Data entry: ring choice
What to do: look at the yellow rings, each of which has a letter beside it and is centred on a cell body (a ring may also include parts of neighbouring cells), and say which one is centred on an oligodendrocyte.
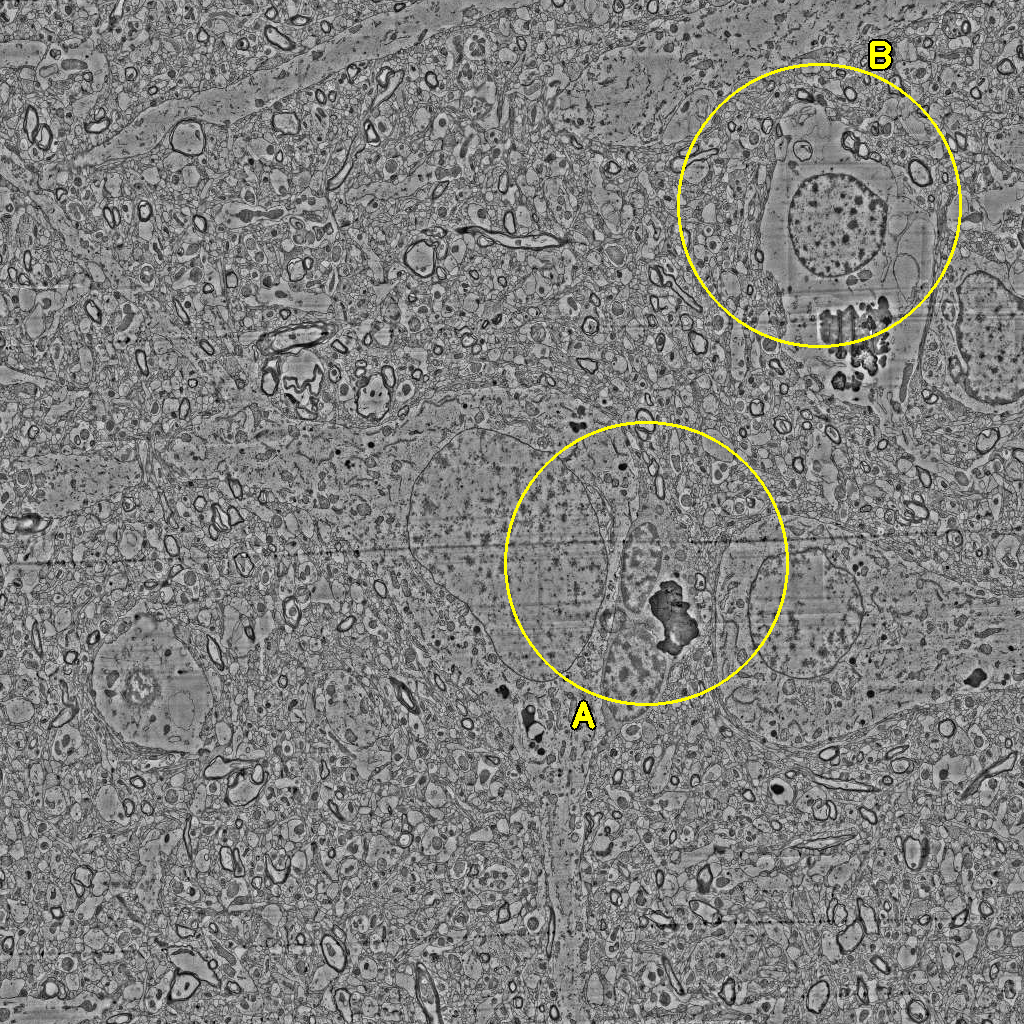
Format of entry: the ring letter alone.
A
